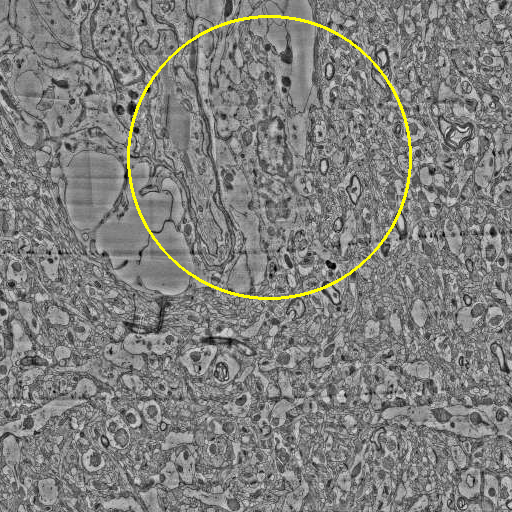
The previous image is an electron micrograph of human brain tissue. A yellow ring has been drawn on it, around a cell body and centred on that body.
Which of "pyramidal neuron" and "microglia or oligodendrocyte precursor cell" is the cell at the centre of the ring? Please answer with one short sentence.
The cell body at the centre of the ring belongs to a microglial cell or oligodendrocyte precursor cell.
